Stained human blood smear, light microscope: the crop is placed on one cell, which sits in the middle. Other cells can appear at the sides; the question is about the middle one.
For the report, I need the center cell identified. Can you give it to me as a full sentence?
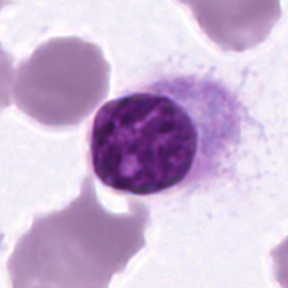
In this smear crop, the middle cell is a plasma cell.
